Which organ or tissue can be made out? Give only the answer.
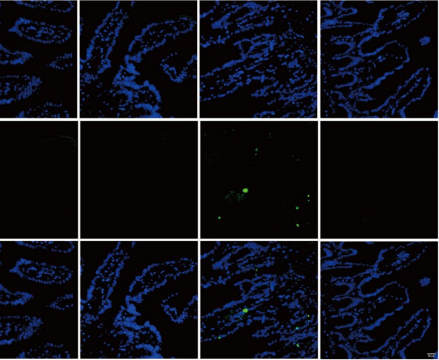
Intestines.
